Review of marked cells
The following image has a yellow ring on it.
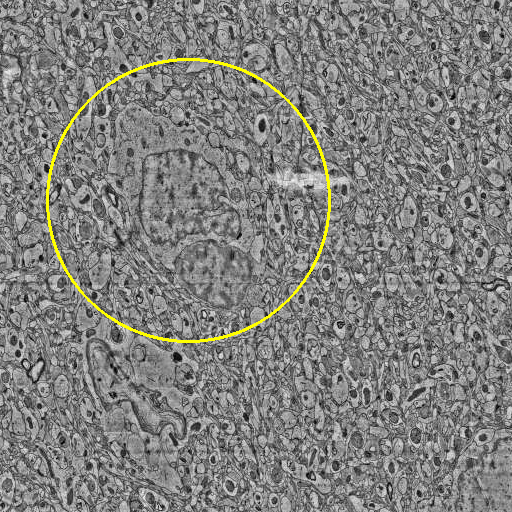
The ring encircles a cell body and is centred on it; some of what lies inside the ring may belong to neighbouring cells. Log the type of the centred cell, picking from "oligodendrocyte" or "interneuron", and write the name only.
interneuron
